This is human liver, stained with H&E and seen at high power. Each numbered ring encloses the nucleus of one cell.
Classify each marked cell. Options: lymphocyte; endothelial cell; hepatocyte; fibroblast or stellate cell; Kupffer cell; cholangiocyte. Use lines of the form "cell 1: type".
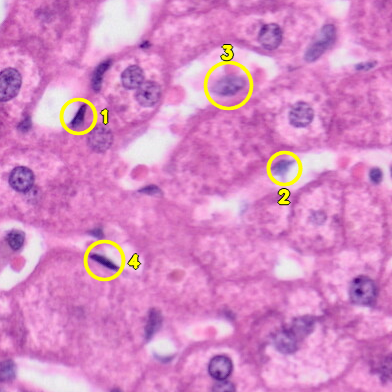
cell 1: fibroblast or stellate cell
cell 2: endothelial cell
cell 3: Kupffer cell
cell 4: endothelial cell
